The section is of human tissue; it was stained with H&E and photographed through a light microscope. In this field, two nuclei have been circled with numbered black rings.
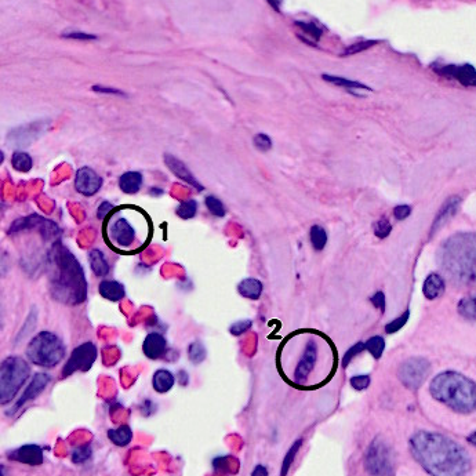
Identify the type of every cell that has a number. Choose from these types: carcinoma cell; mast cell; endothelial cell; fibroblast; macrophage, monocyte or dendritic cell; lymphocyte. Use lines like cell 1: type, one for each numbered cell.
cell 1: lymphocyte
cell 2: mast cell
